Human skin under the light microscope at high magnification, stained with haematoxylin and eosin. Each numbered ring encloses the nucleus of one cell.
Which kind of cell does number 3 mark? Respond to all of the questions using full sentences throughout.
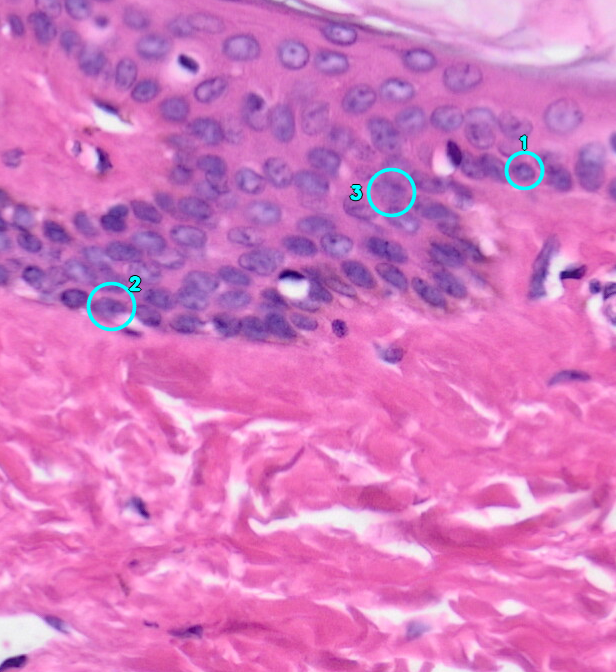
Of the numbered cells, the one labelled 3 is a suprabasal keratinocyte.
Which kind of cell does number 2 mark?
The one numbered 2 among the marked cells is a basal keratinocyte.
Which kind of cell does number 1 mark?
Cell 1 of the marked set is a basal keratinocyte.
